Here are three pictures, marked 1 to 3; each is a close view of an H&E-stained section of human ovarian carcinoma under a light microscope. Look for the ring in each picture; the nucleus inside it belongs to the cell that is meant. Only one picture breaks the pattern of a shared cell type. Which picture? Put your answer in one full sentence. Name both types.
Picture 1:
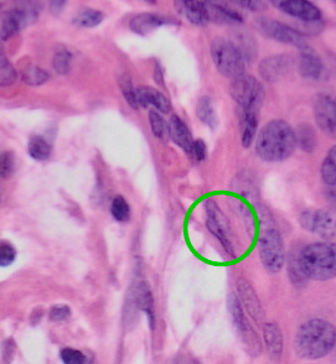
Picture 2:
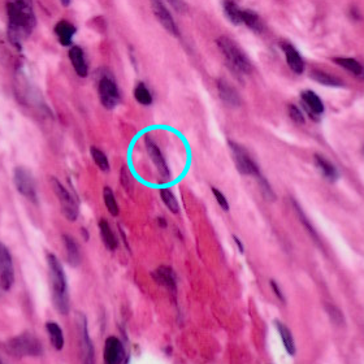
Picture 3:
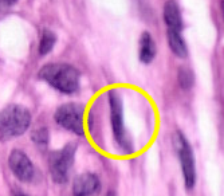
Picture 1 is the odd one out: it shows an endothelial cell, while the others show fibroblasts.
